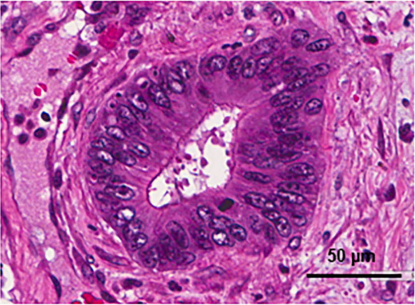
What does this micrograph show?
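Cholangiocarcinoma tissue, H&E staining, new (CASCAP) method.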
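The cytoplasm is pink to purple and fairly evenly stained. Around the gland lies pink fibrous stroma with scattered smaller, dark spindle-shaped nuclei.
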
